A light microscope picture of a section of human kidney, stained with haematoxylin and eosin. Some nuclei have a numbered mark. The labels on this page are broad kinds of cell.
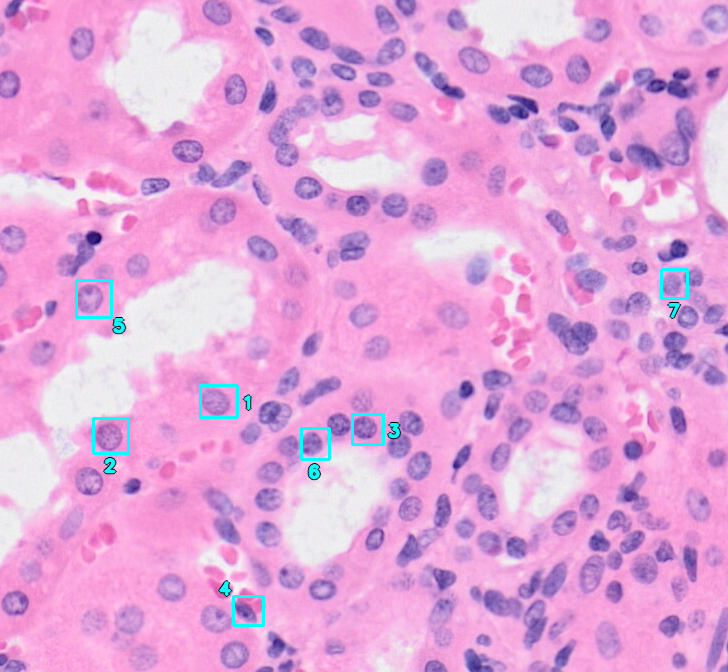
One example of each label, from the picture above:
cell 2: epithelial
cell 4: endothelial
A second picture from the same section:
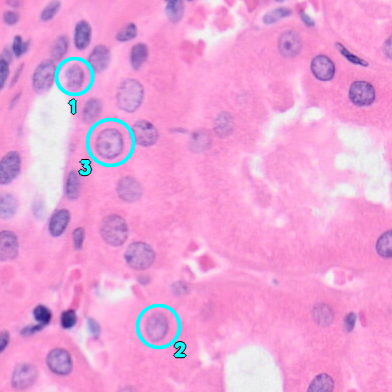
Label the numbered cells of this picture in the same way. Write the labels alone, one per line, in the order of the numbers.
epithelial
epithelial
epithelial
